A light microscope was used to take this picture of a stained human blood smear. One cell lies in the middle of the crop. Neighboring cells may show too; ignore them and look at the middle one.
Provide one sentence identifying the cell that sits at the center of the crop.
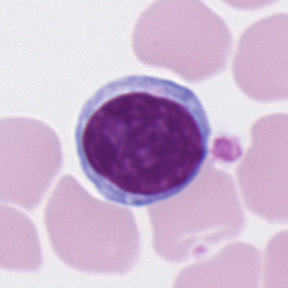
In this smear crop, the middle cell is a typical lymphocyte.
